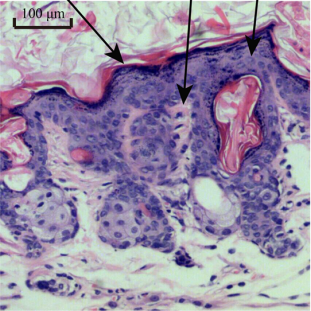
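Skin section with a markedly thickened epidermis made of many layers of crowded purple-nucleated cells, forming broad downward projections into the dermis. A dense, dark pink keratin layer covers the surface, and a rounded pocket of pink keratinous material sits within the epidermis. A clear round space lies in the deeper tissue. Overall the tissue is more cellular and purple than normal skin.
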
